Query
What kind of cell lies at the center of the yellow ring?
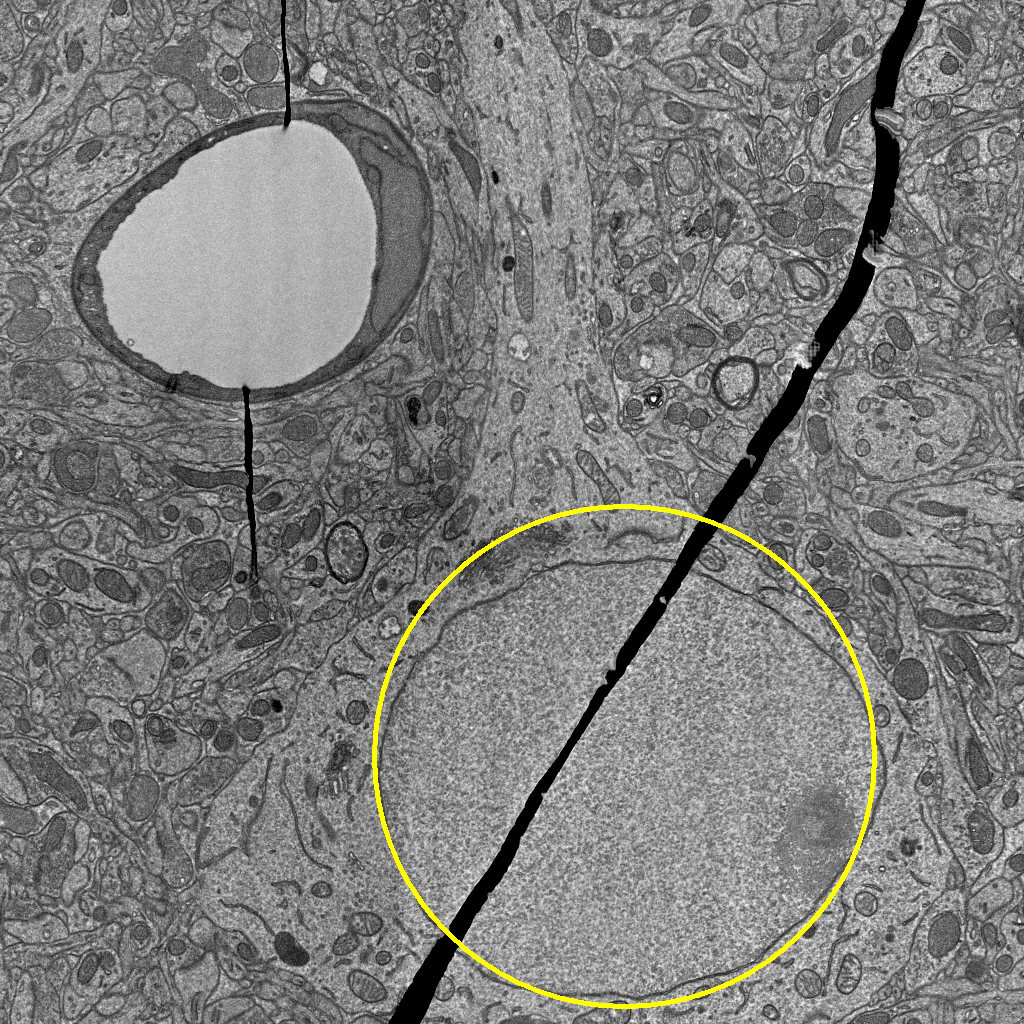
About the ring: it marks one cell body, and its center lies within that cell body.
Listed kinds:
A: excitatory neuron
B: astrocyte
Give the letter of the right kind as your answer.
A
